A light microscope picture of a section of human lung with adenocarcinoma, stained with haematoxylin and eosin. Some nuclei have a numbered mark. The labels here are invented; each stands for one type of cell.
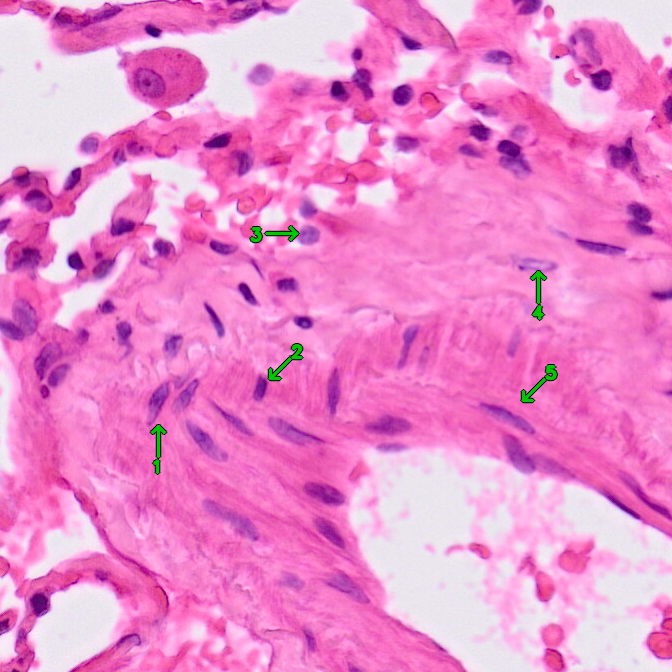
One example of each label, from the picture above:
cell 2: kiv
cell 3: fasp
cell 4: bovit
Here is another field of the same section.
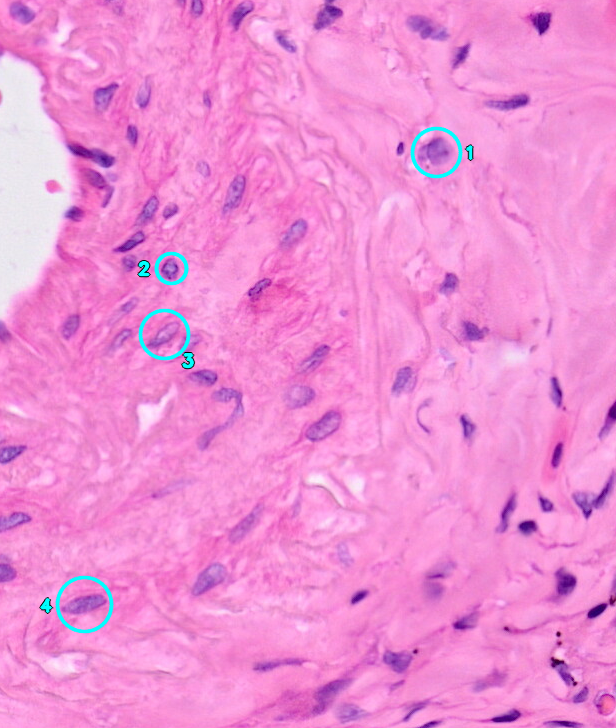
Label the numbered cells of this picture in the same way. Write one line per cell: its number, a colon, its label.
1: bovit
2: kiv
3: kiv
4: kiv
